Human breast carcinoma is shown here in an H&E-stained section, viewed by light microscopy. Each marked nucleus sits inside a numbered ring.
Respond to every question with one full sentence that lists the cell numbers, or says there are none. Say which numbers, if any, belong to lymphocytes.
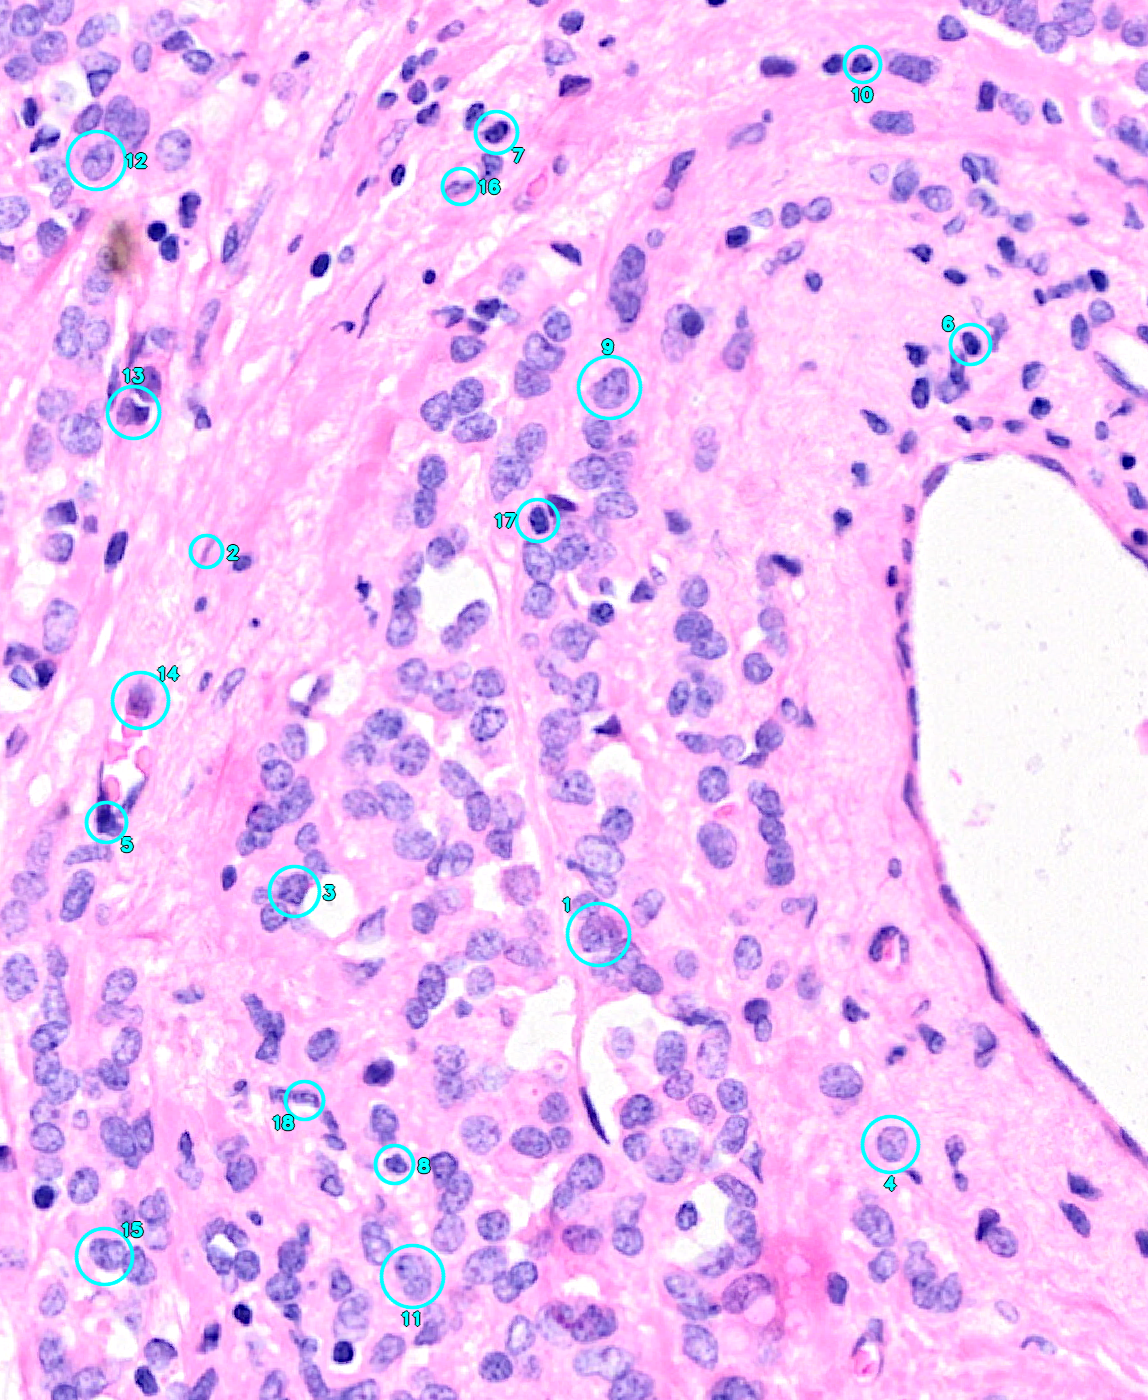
The cells with the numbers 6, 7, 8, 10 and 17 are lymphocytes.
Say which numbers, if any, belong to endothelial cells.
The cells tagged with numbers 5, 14, 16 and 18 are endothelial cells.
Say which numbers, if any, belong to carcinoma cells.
The cells identified by the numbers 1, 3, 4, 9, 11, 12, 13 and 15 are carcinoma cells.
